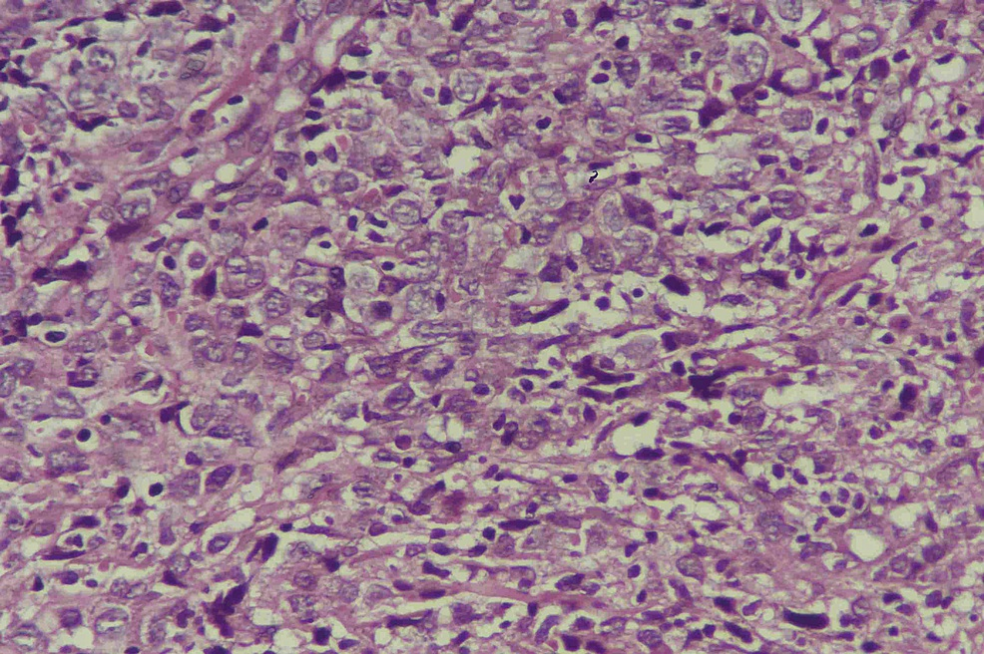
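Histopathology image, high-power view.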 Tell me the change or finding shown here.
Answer: pleomorphism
